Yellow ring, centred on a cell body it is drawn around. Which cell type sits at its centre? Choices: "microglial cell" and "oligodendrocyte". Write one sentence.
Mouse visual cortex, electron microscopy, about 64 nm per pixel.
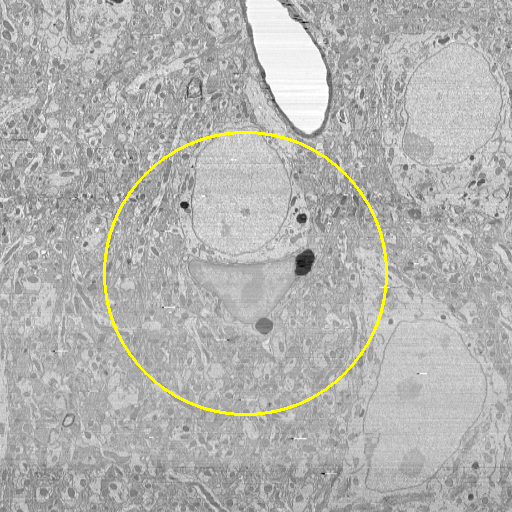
At the centre of the ring sits a microglial cell.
